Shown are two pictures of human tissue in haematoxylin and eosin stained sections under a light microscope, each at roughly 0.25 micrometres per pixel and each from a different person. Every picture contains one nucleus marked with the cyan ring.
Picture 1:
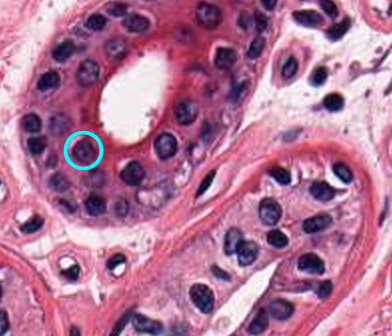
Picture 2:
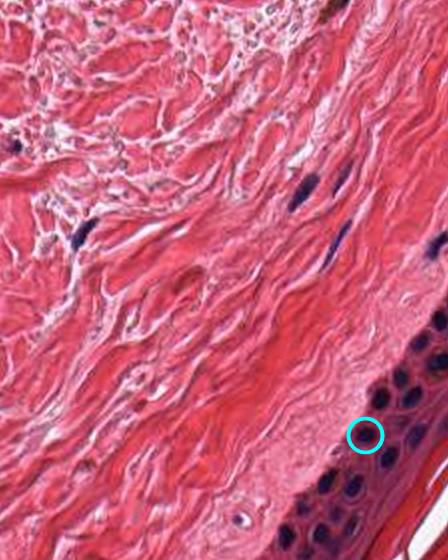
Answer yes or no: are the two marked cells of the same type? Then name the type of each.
No, the first is a sweat gland cell and the second a keratinocyte.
